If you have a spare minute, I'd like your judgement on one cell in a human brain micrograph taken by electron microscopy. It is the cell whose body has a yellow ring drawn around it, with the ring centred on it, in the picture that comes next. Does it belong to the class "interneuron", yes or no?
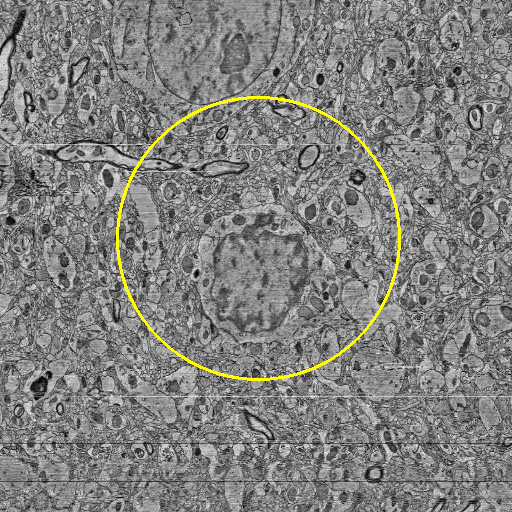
Yes, it belongs to that class.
